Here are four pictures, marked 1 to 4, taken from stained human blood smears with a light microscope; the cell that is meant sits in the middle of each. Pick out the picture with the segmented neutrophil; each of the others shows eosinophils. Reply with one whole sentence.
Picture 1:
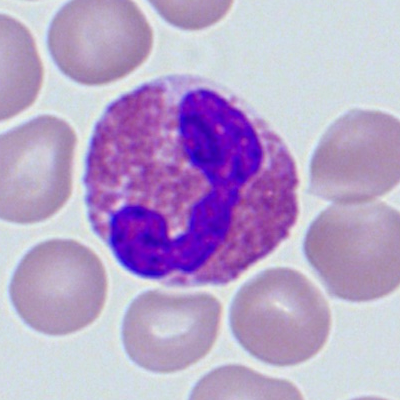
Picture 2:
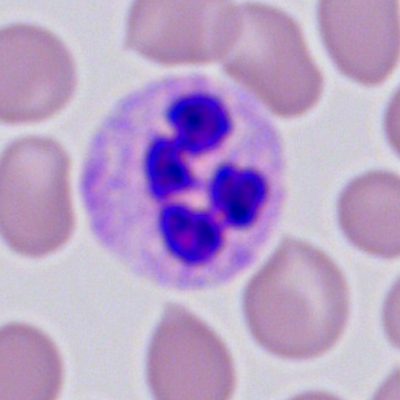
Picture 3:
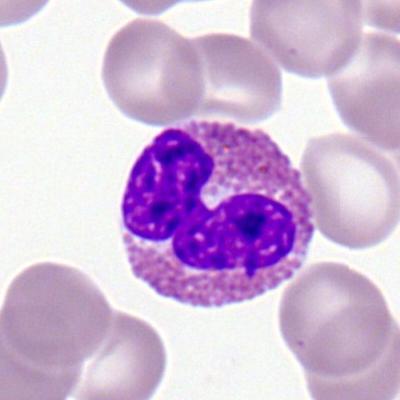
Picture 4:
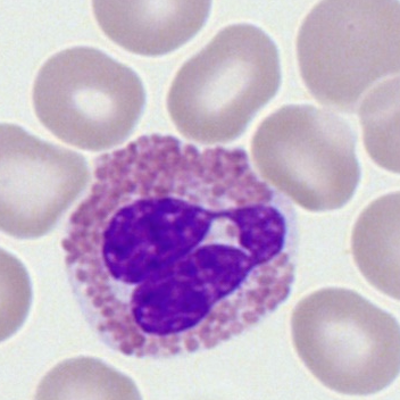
It is picture 2 that shows the segmented neutrophil.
